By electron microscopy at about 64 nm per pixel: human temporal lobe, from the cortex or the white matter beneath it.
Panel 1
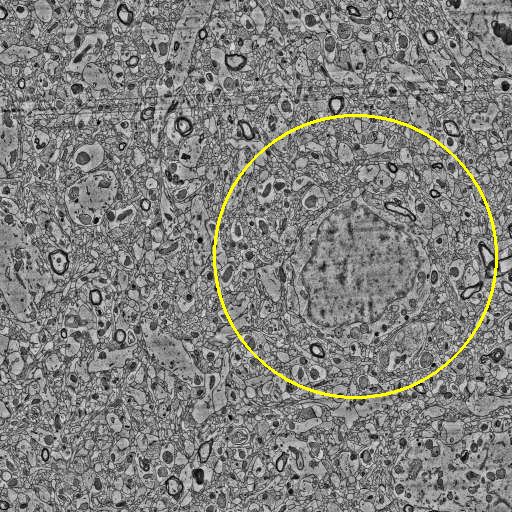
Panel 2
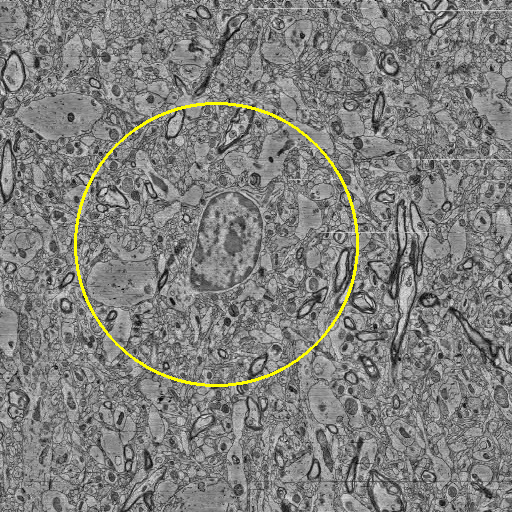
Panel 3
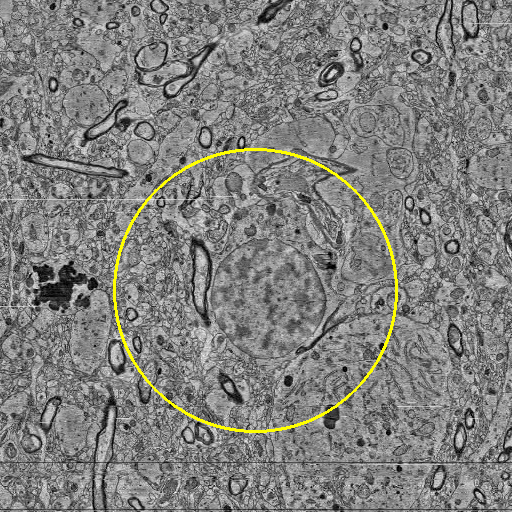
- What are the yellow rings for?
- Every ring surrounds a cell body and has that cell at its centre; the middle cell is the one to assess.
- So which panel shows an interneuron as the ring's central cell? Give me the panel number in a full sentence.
The panel whose ring is centred on the cell in question is panel 1.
